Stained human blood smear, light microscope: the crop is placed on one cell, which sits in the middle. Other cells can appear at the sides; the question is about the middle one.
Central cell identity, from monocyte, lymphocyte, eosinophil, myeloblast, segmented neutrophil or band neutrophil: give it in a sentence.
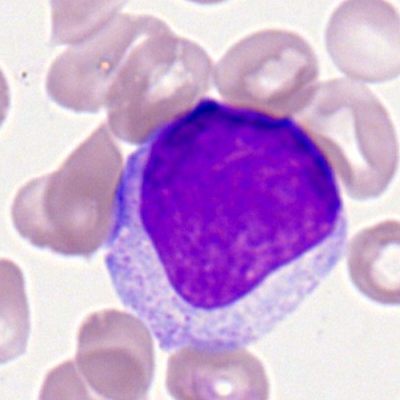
The crop shows a myeloblast in its centre.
